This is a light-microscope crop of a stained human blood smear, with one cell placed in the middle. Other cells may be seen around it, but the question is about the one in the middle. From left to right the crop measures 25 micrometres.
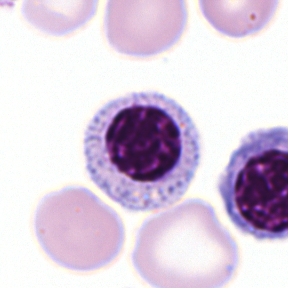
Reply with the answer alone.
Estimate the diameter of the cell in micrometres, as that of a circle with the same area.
10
